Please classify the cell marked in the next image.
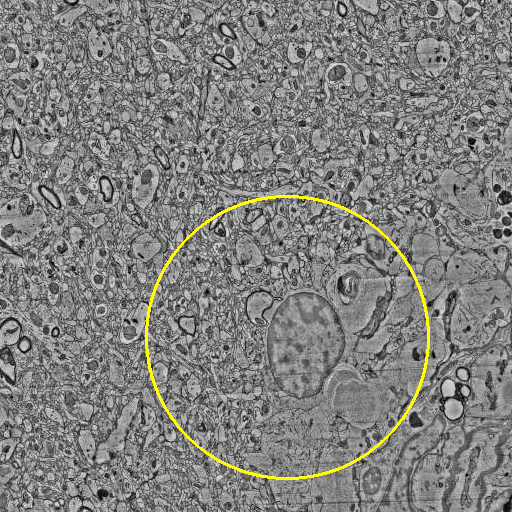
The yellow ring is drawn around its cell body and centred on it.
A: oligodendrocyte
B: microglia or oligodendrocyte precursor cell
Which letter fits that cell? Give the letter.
A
